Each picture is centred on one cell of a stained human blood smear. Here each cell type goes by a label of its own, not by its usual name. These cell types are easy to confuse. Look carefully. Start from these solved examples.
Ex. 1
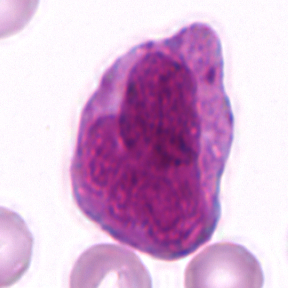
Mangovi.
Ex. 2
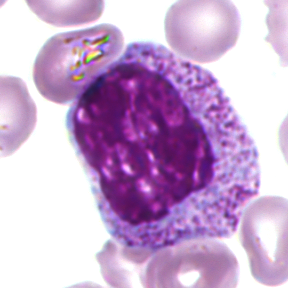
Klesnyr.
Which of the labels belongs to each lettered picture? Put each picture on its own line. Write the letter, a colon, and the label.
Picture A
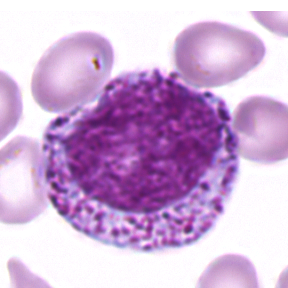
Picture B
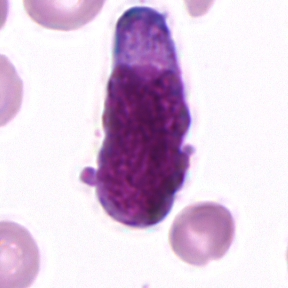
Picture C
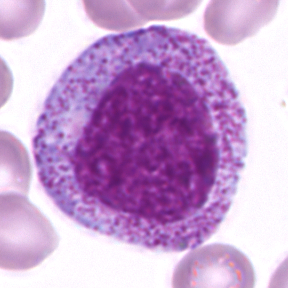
A: Klesnyr.
B: Mangovi.
C: Klesnyr.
